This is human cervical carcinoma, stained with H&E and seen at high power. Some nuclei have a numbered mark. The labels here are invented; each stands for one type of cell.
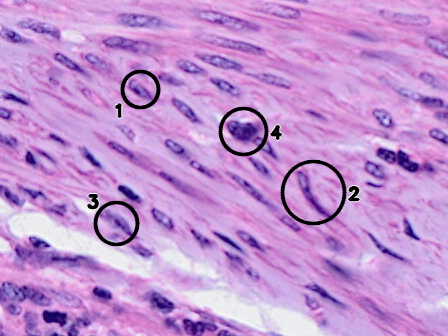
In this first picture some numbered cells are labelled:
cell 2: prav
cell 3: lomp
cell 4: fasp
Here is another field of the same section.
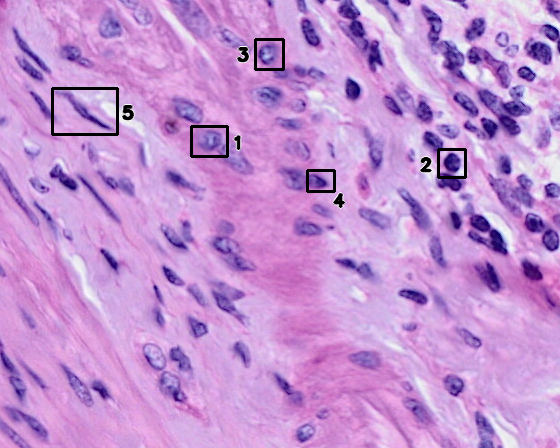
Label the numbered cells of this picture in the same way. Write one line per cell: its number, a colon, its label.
1: prav
2: fasp
3: prav
4: prav
5: lomp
